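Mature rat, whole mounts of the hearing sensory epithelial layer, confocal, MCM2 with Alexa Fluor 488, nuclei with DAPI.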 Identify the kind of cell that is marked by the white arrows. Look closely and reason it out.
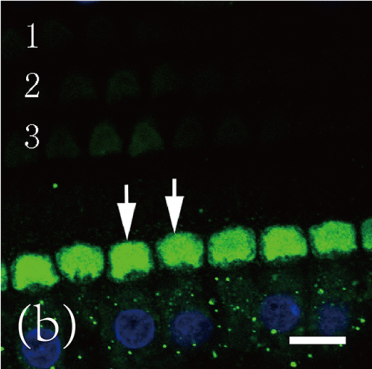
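The arrows point to cells in a single row below three other rows. The marked cells have bright green flat-topped apical regions. Blue nuclei lie beneath the marked row.
Answer: inner hair cells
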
